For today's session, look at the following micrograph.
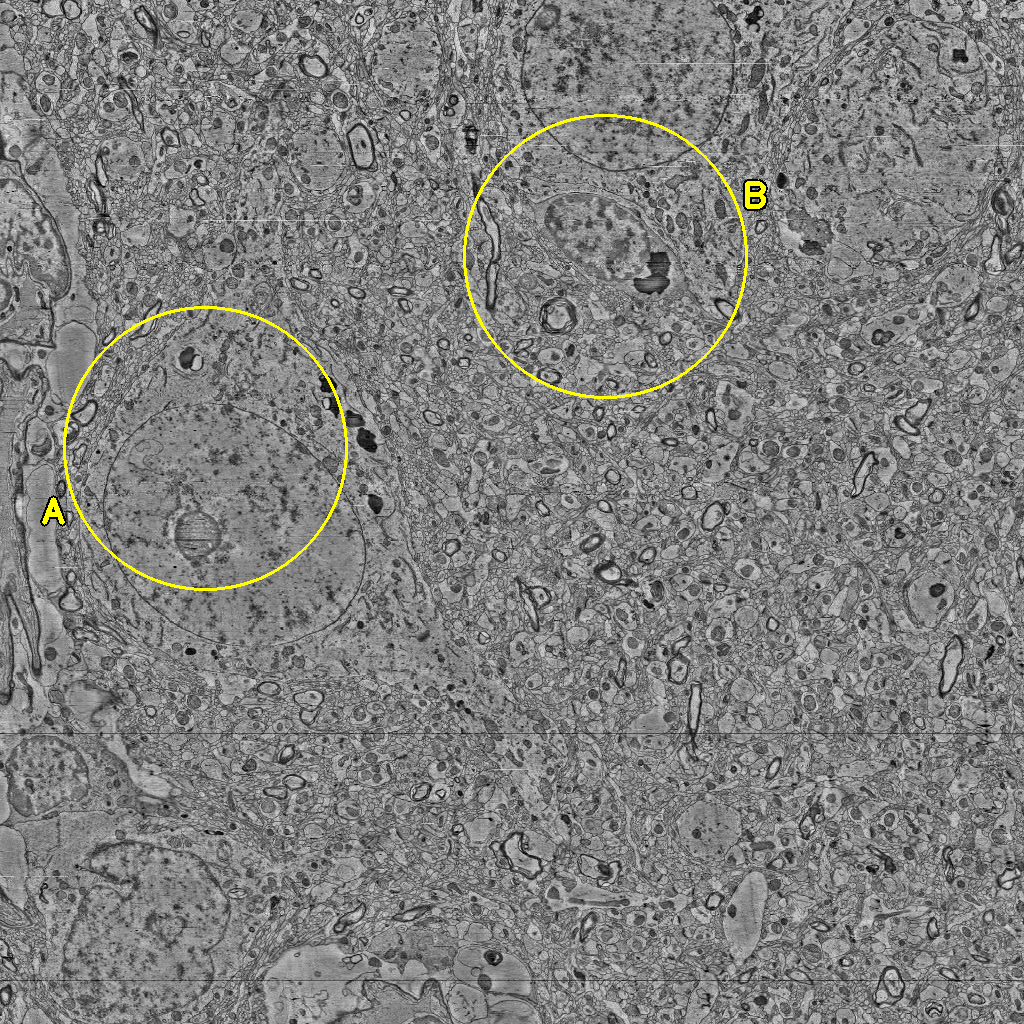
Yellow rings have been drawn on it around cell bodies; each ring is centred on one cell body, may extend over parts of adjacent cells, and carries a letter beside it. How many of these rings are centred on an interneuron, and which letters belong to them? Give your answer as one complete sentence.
There are no rings here centred on an interneuron, so the count is zero.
